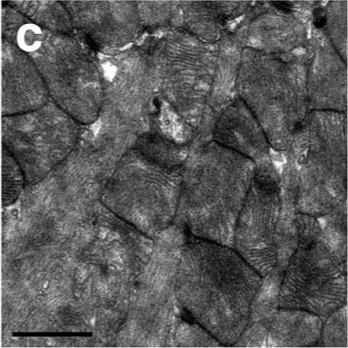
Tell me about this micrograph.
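This shows heart muscle cell cytoplasm at high magnification, crowded with large mitochondria packed between thin bands of myofibrils. The mitochondria are rounded to polygonal, closely apposed, each outlined by a continuous dark membrane. Inside, the cristae are numerous, fine and dark, running largely parallel to one another and filling the whole interior of each organelle. The matrix between them is moderately grey. Thin strips of striated myofibrils run vertically between rows of mitochondria, and a few small clear spaces sit at the corners where the organelles meet.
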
